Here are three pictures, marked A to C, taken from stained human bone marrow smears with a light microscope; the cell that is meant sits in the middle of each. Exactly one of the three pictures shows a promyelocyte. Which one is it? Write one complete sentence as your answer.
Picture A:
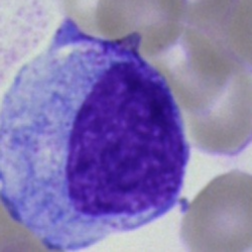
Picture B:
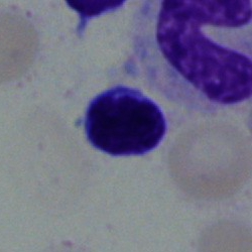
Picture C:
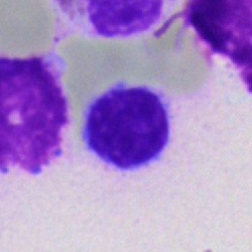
Picture A shows the promyelocyte.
